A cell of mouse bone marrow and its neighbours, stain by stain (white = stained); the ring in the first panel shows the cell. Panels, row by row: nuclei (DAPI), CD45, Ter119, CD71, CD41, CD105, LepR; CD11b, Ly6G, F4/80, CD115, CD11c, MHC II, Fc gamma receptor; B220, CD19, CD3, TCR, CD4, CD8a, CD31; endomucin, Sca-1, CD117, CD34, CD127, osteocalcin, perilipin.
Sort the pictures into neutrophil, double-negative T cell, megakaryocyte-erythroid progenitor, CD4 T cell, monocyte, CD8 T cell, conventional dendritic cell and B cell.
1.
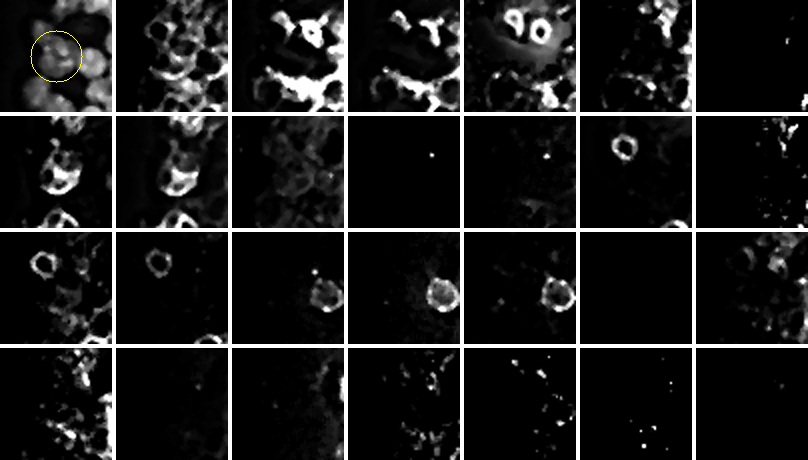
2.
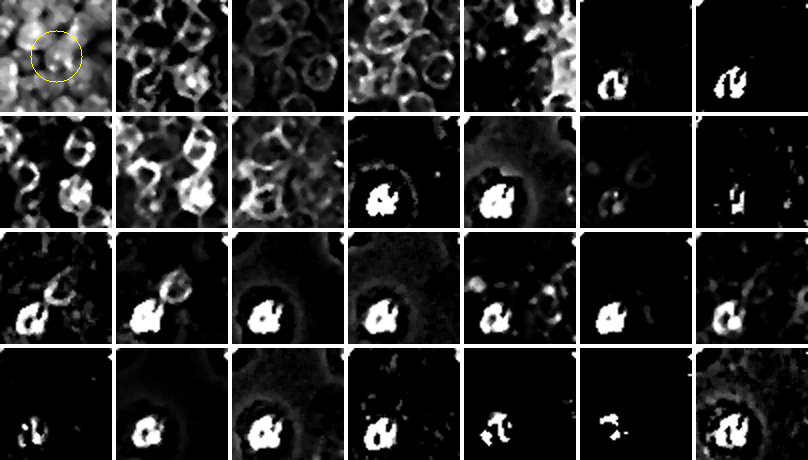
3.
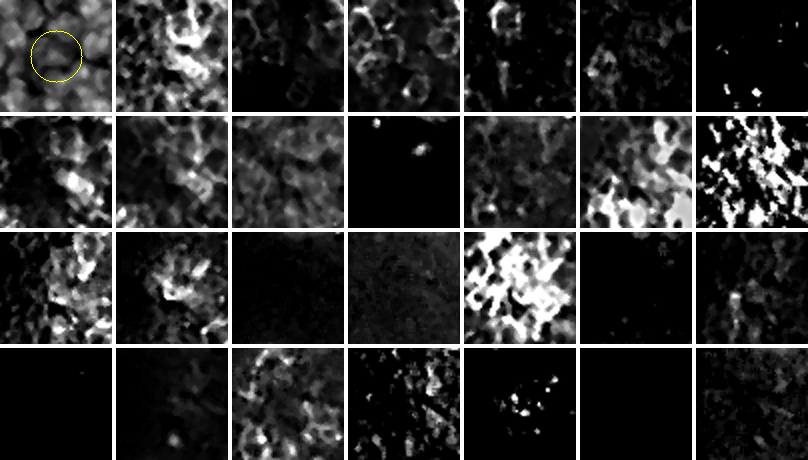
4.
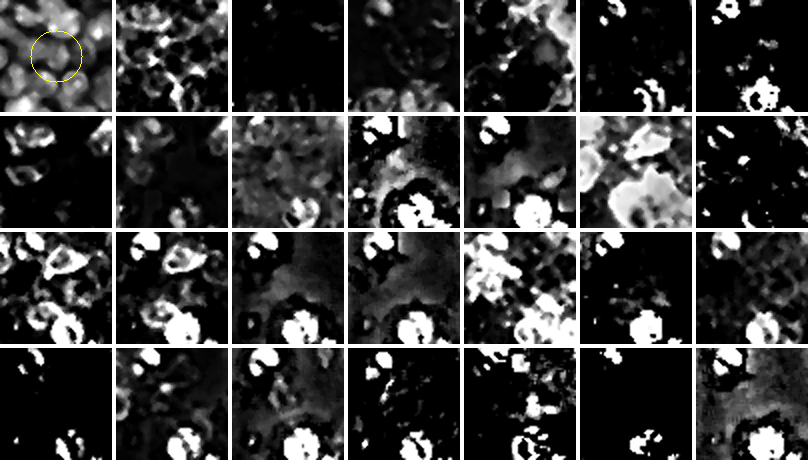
Neutrophils: 1
B cells: 2, 3
Conventional dendritic cells: 4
